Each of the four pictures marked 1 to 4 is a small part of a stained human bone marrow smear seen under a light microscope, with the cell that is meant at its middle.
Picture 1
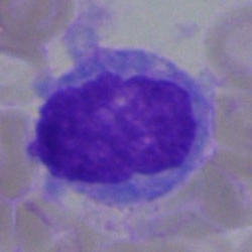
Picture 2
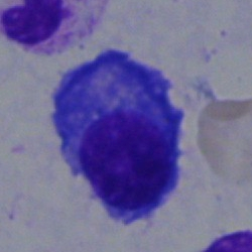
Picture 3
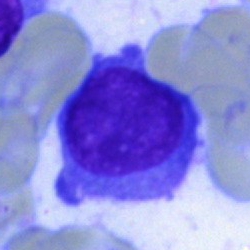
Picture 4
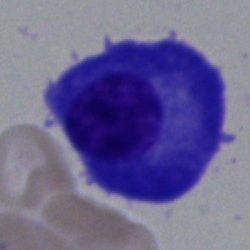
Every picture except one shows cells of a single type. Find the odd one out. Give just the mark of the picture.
1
